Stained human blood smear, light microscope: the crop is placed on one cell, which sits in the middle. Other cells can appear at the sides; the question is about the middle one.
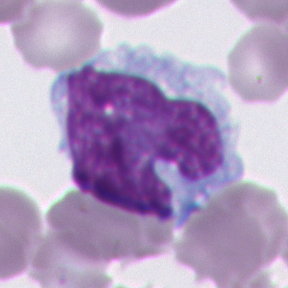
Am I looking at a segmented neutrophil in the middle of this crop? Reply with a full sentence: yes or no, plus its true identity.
No, the cell in the middle is correctly named a monocyte, not a segmented neutrophil.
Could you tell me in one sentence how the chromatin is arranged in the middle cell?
The chromatin here is fine and lacks any coarse clumps.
